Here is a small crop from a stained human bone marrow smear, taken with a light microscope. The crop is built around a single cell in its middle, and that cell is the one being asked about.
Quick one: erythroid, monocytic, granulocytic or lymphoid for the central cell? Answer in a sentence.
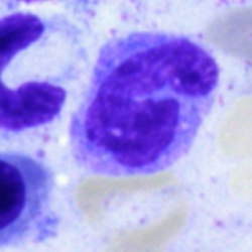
In lineage, the cell at the crop's center is monocytic.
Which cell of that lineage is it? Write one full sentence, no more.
The cell at the middle of the crop is recognized as a monocyte.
